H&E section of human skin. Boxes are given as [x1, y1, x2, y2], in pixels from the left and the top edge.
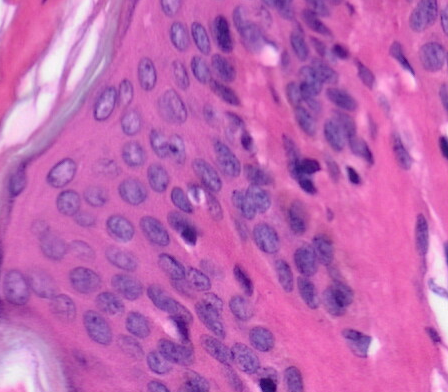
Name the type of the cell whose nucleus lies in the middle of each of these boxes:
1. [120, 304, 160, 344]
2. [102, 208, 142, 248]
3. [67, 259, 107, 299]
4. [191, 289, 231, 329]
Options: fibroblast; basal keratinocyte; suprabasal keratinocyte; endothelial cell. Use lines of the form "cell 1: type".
cell 1: suprabasal keratinocyte
cell 2: suprabasal keratinocyte
cell 3: suprabasal keratinocyte
cell 4: basal keratinocyte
